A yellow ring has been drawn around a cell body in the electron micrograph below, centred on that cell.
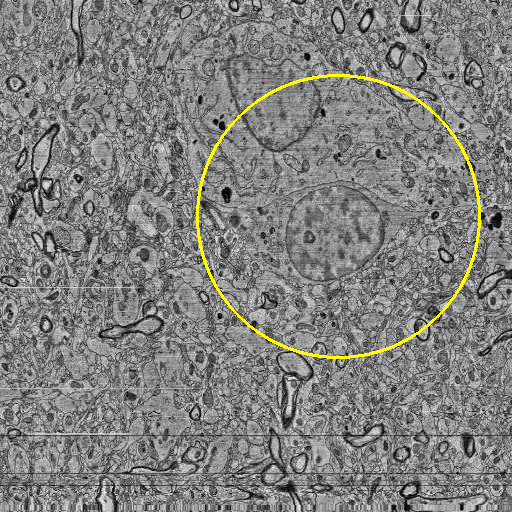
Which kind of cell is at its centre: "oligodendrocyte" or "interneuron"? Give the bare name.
oligodendrocyte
